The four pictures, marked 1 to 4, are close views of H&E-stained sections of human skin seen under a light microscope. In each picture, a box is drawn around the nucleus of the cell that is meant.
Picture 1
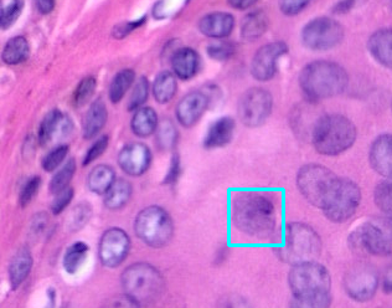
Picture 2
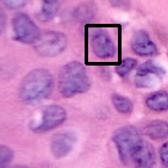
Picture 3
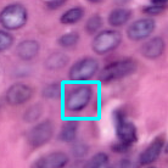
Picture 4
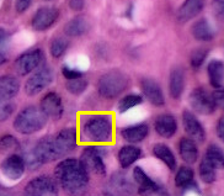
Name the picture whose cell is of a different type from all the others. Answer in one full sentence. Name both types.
Unlike the rest, which show basal keratinocytes, picture 1 shows a suprabasal keratinocyte.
